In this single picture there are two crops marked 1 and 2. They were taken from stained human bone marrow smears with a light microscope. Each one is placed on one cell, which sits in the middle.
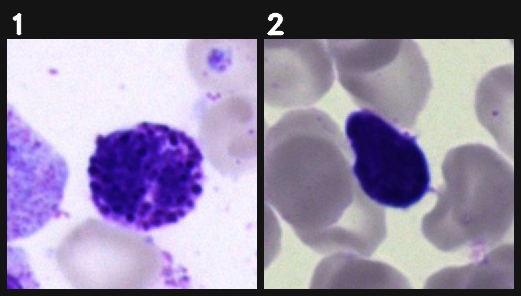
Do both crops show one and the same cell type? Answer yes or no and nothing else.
no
